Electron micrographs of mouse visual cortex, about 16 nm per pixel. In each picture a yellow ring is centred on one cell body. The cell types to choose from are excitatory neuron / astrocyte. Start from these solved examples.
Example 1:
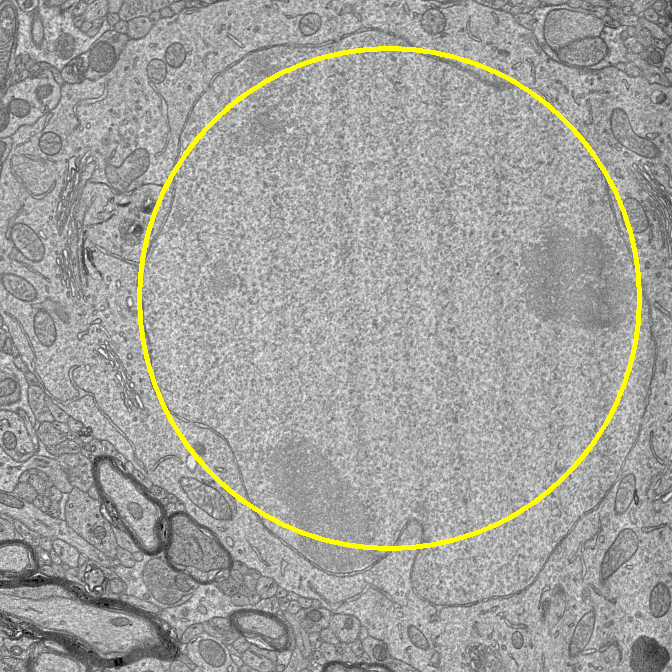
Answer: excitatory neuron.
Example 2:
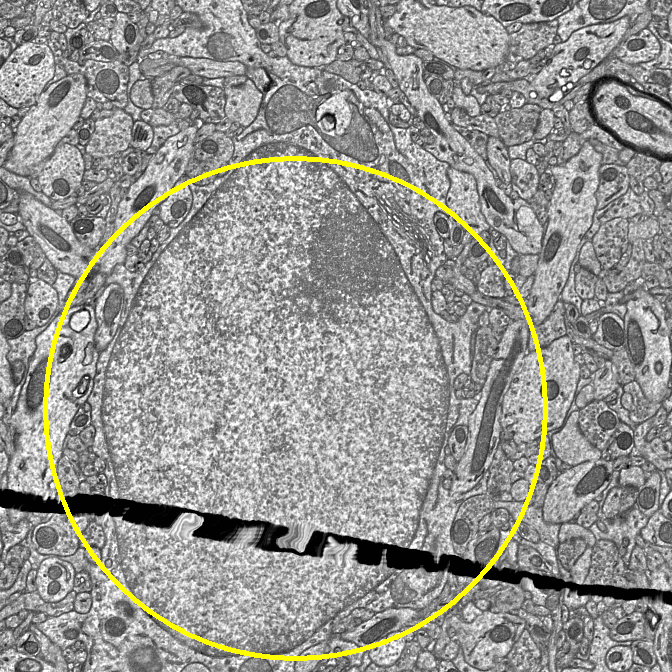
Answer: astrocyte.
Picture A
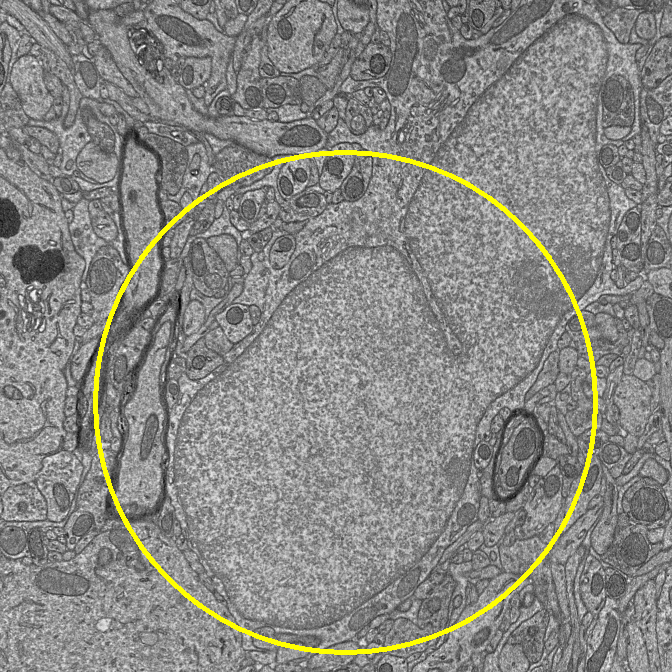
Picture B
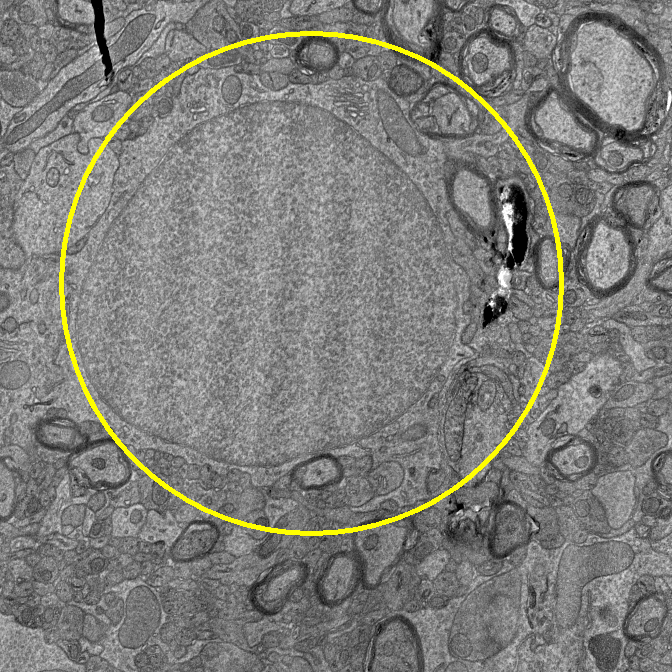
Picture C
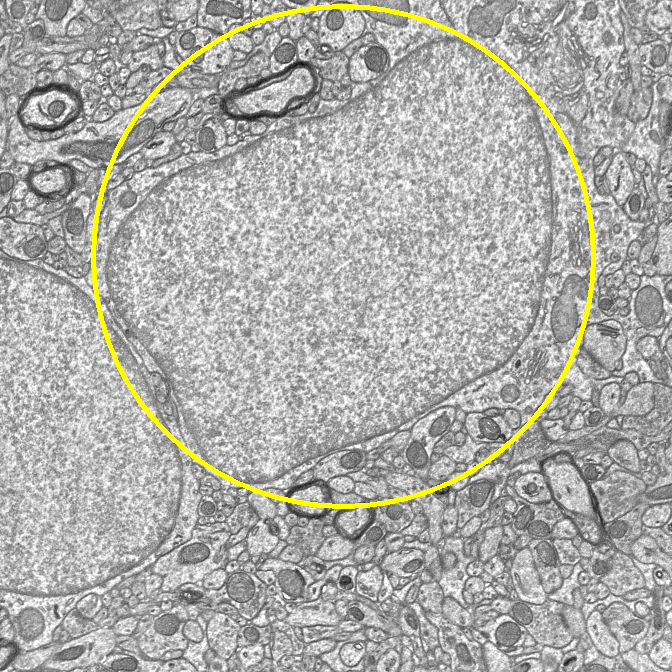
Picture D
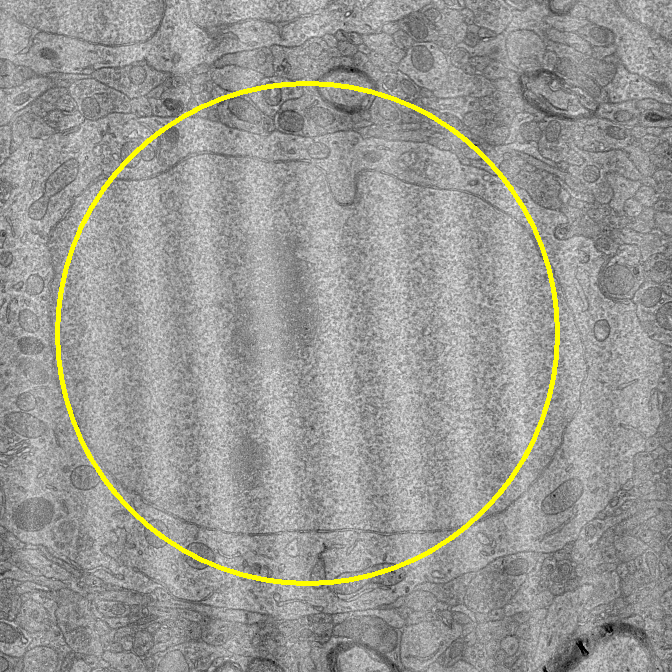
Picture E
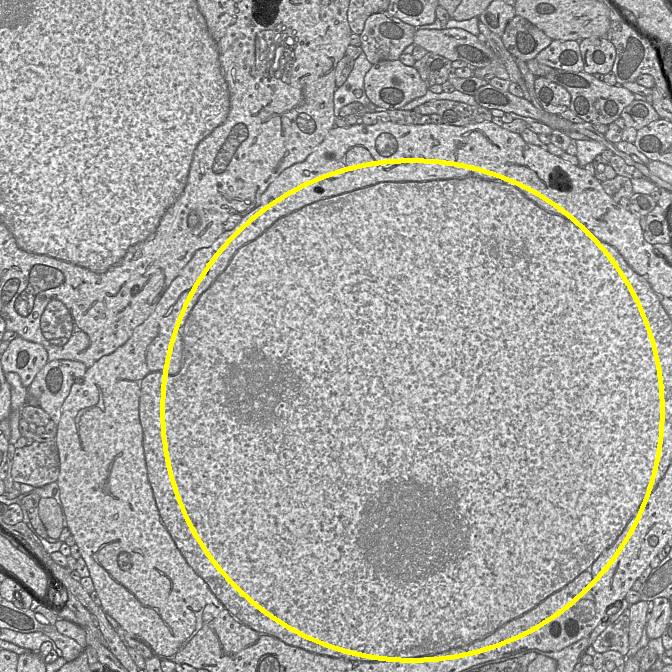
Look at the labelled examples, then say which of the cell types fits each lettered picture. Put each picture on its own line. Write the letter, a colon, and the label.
A: astrocyte.
B: astrocyte.
C: astrocyte.
D: excitatory neuron.
E: excitatory neuron.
